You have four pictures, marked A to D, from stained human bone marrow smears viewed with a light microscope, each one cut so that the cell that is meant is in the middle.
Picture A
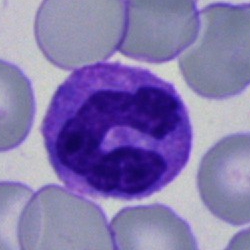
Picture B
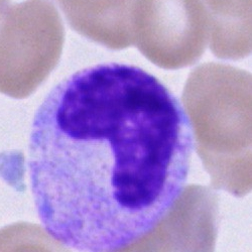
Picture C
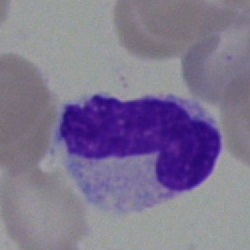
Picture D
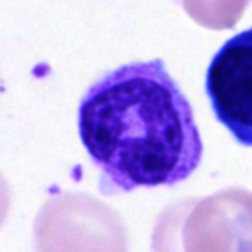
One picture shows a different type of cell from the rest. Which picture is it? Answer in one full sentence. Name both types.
Picture B is the odd one out: it shows a metamyelocyte, while the others show band neutrophils.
